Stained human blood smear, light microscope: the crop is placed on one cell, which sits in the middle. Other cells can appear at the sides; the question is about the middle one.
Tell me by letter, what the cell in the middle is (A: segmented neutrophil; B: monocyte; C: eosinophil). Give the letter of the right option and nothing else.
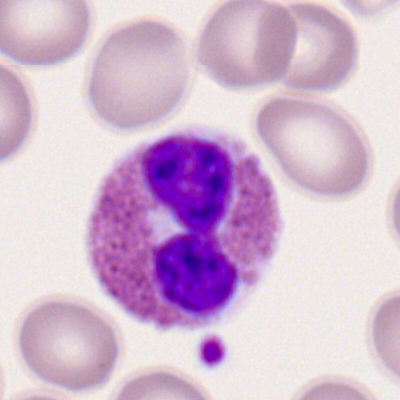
C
